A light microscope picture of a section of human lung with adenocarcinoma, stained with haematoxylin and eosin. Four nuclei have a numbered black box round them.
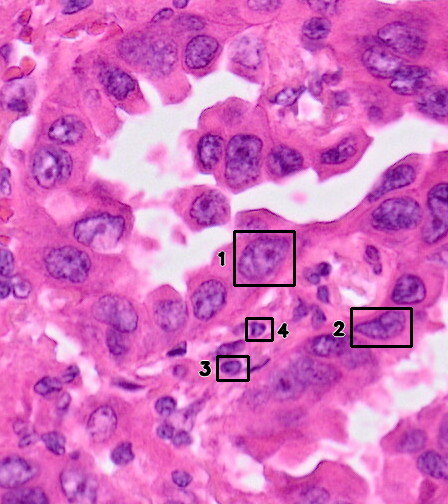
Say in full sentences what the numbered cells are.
Cell 1 is a carcinoma cell, cell 2 is a carcinoma cell, cell 3 is a lymphocyte and cell 4 is a lymphocyte.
